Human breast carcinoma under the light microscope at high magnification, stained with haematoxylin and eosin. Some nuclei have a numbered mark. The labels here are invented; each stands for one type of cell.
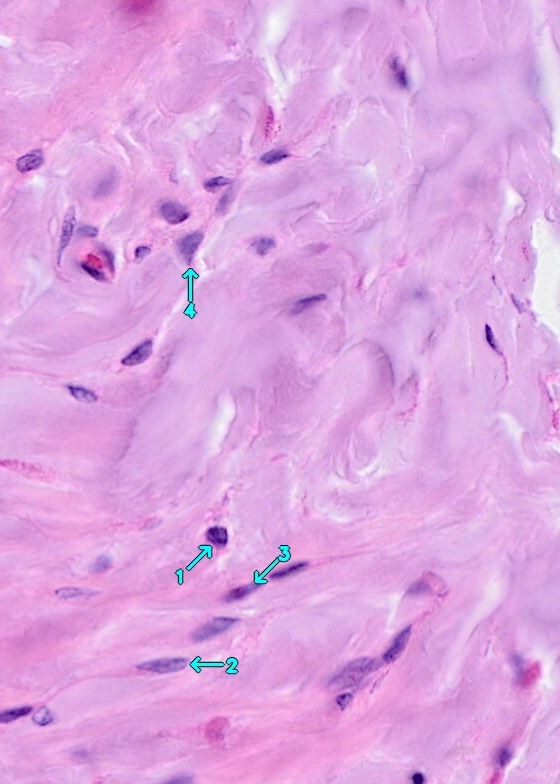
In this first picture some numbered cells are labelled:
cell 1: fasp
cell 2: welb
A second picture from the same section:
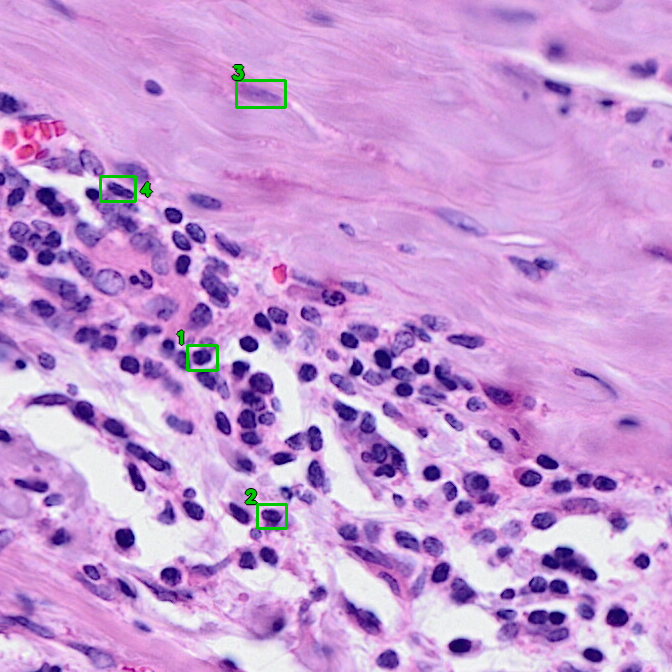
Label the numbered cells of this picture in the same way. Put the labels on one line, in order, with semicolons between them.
fasp; fasp; welb; fasp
